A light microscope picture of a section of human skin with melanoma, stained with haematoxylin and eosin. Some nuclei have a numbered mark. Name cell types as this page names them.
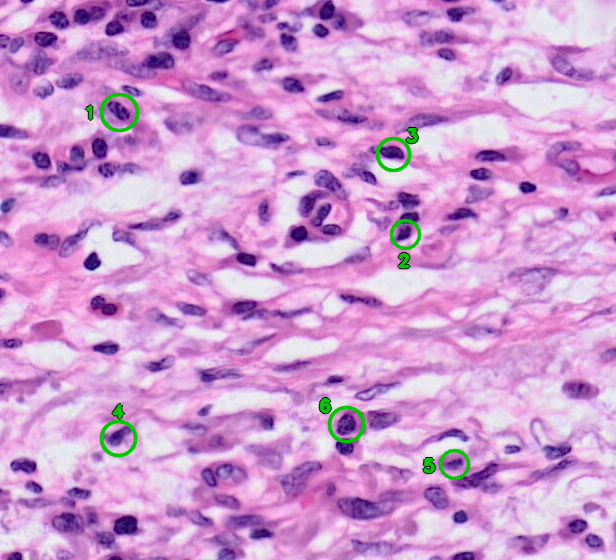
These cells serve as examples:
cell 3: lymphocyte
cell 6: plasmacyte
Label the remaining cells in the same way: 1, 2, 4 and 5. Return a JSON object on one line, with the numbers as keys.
{"1": "plasmacyte", "2": "plasmacyte", "4": "lymphocyte", "5": "plasmacyte"}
